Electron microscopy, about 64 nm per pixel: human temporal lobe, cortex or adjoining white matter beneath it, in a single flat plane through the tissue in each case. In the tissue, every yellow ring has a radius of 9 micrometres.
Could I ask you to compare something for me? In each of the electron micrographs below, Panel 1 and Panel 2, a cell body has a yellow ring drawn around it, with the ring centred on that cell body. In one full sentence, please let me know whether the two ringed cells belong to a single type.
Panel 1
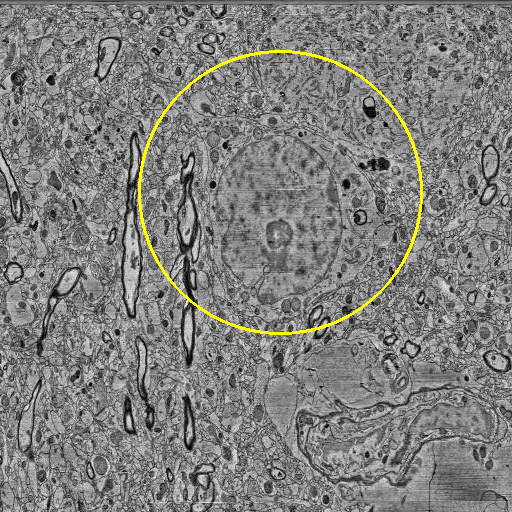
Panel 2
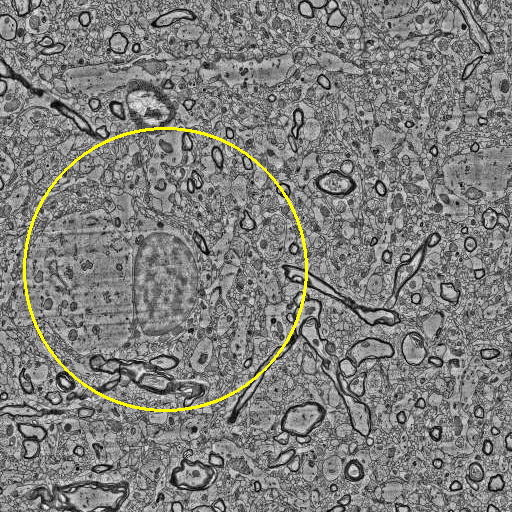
No, the two cells at the centres of the rings are of two types.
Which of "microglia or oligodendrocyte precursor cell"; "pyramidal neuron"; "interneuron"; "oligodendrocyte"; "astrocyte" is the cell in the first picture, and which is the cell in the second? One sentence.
The two differ: the first cell is an interneuron and the second is an oligodendrocyte.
